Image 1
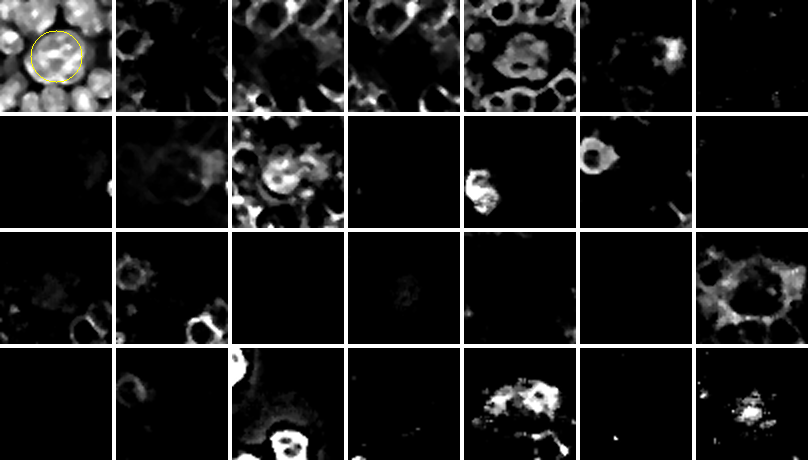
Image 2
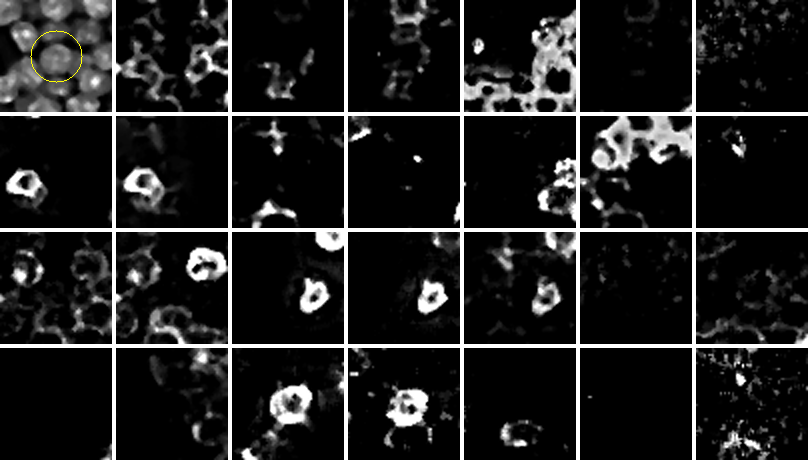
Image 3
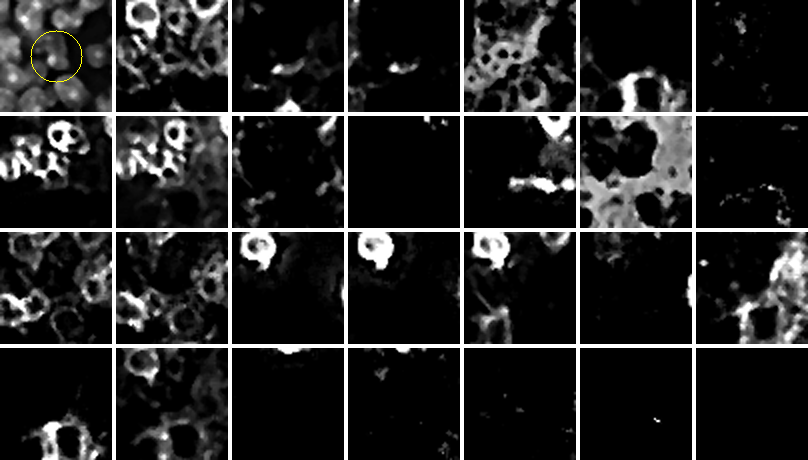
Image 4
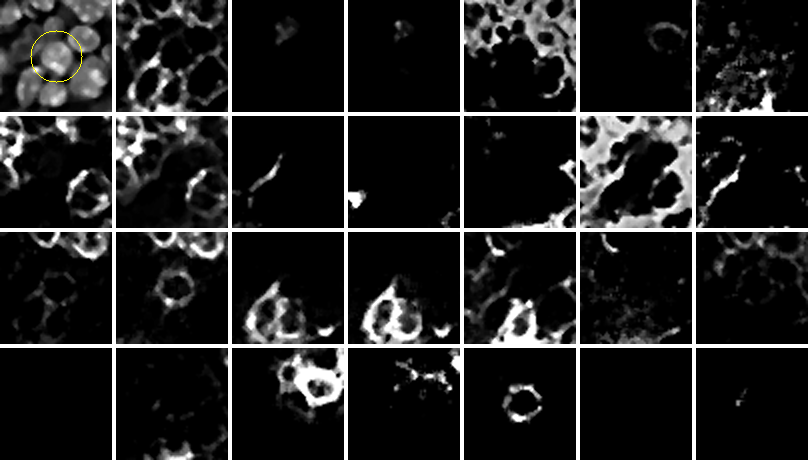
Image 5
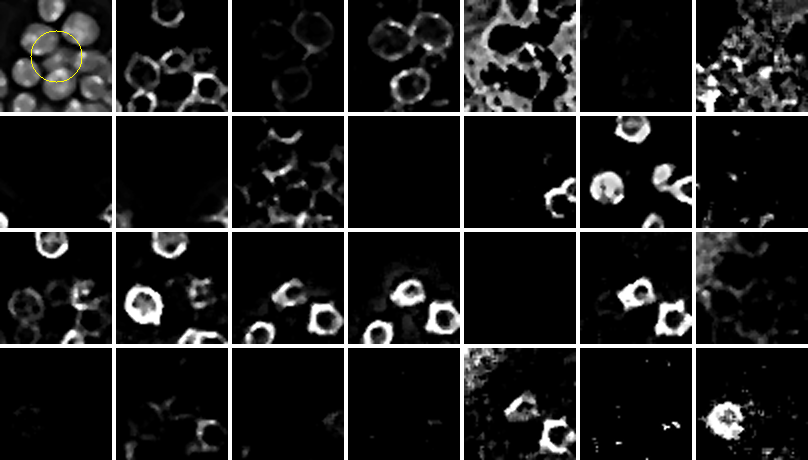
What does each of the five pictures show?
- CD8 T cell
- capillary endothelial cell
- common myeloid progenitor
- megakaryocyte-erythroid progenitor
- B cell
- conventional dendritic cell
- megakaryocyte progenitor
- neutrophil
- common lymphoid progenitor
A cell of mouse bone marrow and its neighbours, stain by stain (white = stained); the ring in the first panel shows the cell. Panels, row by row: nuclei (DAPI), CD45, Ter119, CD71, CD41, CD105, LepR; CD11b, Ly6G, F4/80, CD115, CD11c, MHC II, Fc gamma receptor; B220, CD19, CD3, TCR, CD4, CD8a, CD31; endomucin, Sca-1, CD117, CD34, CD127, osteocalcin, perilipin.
Picture 1: common lymphoid progenitor
Picture 2: common myeloid progenitor
Picture 3: neutrophil
Picture 4: common lymphoid progenitor
Picture 5: CD8 T cell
